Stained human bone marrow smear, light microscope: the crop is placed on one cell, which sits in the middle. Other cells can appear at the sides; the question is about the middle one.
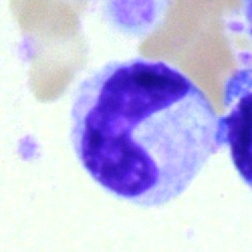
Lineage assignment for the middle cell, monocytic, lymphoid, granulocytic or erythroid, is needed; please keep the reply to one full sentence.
Under the granulocytic lineage falls the cell in the middle of the crop.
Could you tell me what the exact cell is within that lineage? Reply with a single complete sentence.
The central cell, amid any neighbouring cells, is a band neutrophil.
